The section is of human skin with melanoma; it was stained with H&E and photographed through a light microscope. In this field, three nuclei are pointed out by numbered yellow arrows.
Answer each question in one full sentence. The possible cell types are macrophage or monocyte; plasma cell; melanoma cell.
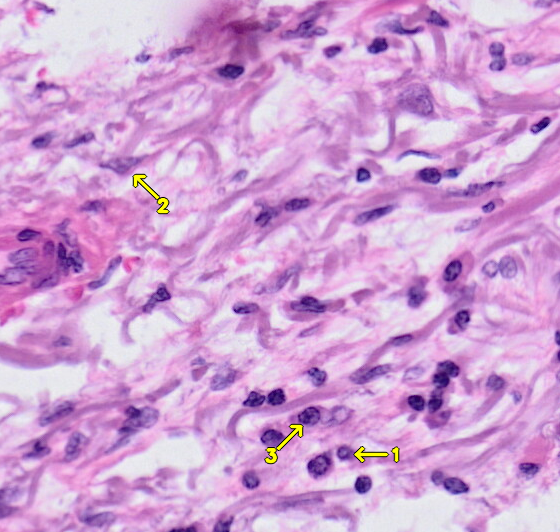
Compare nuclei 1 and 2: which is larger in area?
Nucleus 2 is the larger one, covering about 2.5 times the area of nucleus 1.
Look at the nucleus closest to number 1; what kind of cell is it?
The cell nearest to number 1 is a plasma cell.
